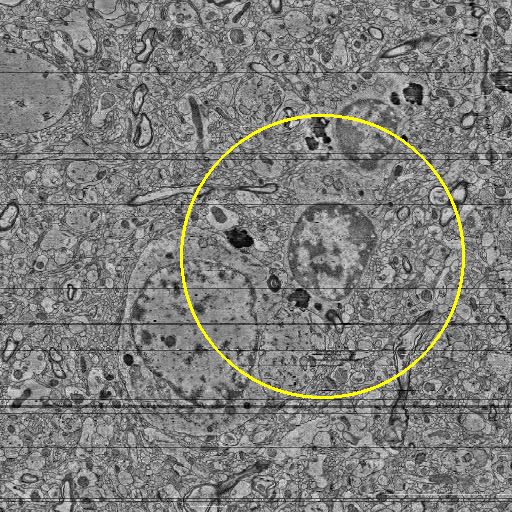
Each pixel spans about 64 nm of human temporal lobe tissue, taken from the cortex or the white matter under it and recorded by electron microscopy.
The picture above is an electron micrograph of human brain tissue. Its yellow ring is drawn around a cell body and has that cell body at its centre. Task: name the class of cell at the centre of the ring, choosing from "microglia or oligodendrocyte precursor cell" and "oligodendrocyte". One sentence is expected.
The ring surrounds the body of an oligodendrocyte.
